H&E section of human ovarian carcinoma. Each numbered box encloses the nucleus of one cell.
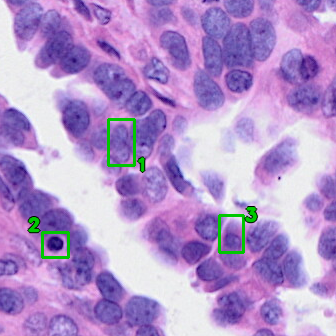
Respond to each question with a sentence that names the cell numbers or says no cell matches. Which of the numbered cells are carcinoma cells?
In this section, the cells labelled 1 and 3 are carcinoma cells.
